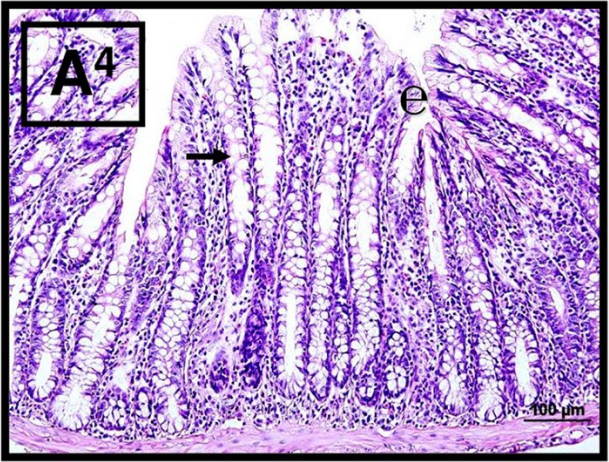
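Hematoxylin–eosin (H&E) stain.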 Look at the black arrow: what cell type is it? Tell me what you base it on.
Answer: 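The arrow points at pale, rounded, clear-looking cells lining an elongated gland. Many such pale vacuolated cells lie in rows along the glands. On this evidence: goblet cells.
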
